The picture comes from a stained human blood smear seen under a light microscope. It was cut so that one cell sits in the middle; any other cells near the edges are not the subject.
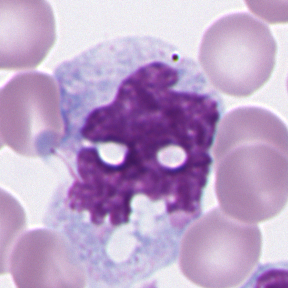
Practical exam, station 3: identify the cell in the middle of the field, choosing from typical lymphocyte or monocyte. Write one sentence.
Centrally within this crop lies a monocyte.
